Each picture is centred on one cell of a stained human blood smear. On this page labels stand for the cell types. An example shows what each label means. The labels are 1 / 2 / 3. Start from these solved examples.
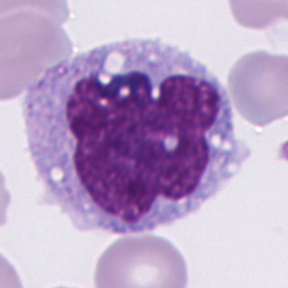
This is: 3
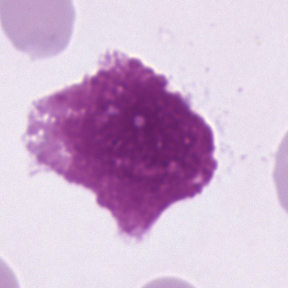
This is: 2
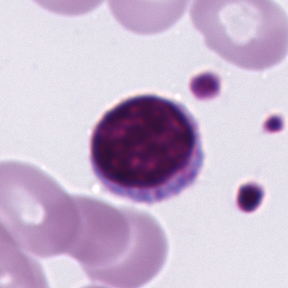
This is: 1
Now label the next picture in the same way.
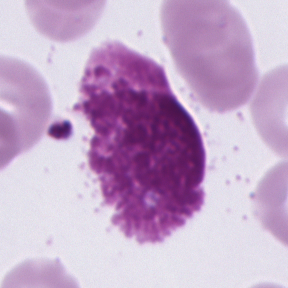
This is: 2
